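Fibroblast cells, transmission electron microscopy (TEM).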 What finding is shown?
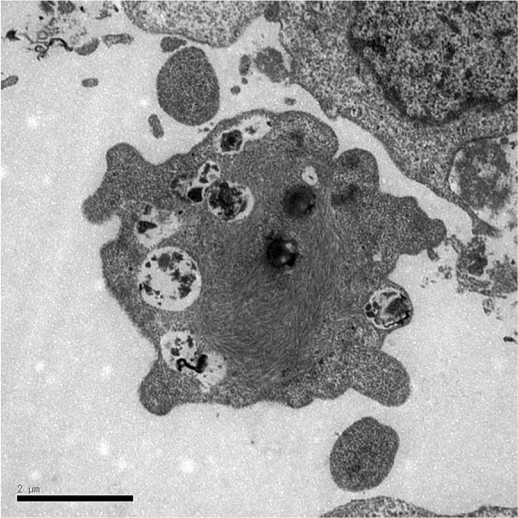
The release of apoptotic bodies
